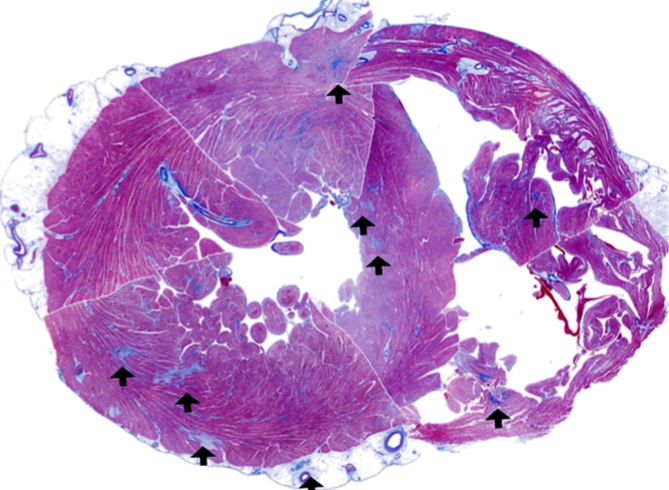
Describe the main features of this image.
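A whole transverse section of the heart shows a thick muscular ventricular wall around a central chamber filled with rounded muscular bundles, with a thinner-walled chamber beside it. Pale blue fatty tissue with small vessels borders the outer surface.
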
